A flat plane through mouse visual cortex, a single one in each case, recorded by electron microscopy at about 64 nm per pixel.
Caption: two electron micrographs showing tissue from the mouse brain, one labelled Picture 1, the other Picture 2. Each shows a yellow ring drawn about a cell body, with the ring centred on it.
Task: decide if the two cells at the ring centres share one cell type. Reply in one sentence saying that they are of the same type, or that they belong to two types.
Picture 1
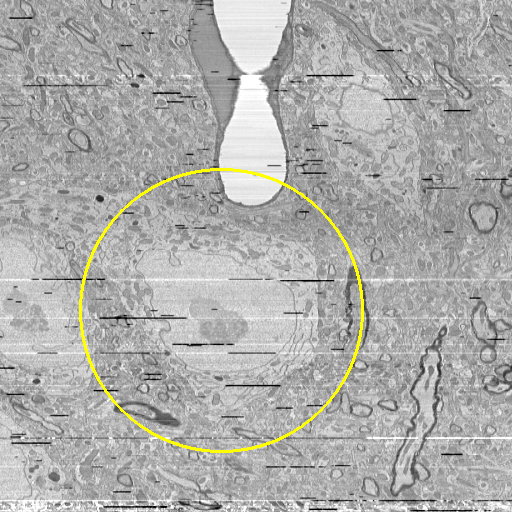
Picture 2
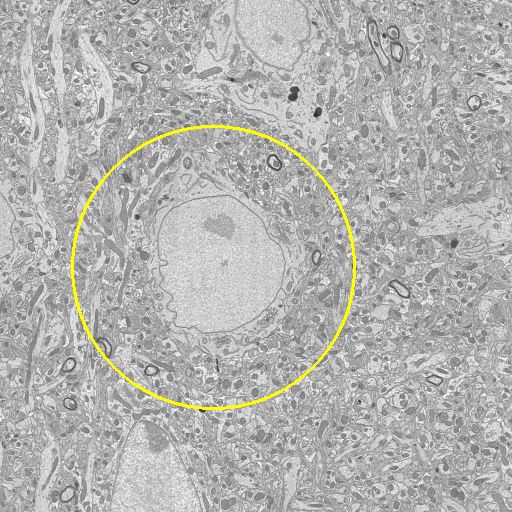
The cells at the ring centres in Picture 1 and Picture 2 are of the same type.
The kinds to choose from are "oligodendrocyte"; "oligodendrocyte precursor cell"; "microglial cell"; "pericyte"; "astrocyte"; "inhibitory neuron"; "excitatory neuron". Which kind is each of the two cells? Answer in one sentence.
Each one of the two ringed cells is an excitatory neuron.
